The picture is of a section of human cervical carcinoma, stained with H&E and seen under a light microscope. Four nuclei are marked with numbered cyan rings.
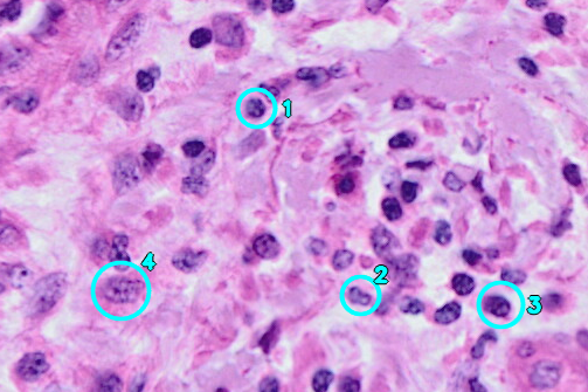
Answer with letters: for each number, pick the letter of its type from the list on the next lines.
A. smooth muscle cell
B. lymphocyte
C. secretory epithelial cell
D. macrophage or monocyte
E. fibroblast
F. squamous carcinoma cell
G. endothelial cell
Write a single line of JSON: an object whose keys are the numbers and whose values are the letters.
{"1": "B", "2": "B", "3": "B", "4": "D"}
